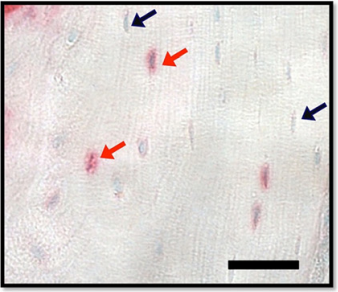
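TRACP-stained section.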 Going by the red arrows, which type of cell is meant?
Osteocyte.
